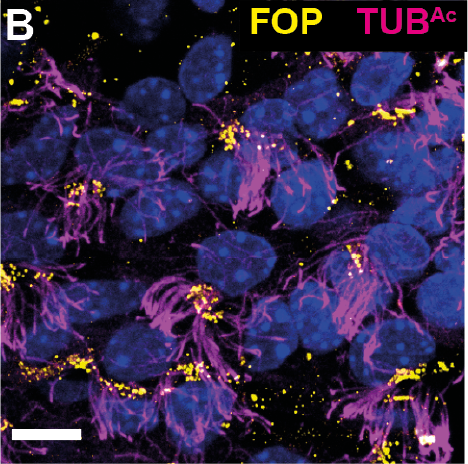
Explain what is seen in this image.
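Ependymal cells seen from the ventricular surface, with large oval blue nuclei packed closely together. Several cells carry tufts of long magenta cilia that sweep in a common direction. Yellow dots cluster in small groups at the bases of the cilia tufts, off-centre near the edge of each cell. Some cells show only short or no magenta processes.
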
